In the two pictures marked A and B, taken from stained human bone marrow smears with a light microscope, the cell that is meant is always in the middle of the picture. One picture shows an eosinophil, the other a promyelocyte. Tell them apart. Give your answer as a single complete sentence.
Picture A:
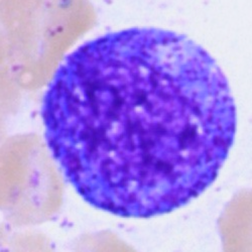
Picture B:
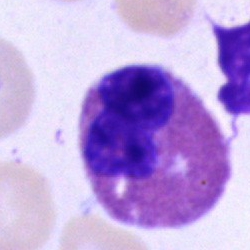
The cell in picture A is a promyelocyte, and the one in picture B is an eosinophil.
